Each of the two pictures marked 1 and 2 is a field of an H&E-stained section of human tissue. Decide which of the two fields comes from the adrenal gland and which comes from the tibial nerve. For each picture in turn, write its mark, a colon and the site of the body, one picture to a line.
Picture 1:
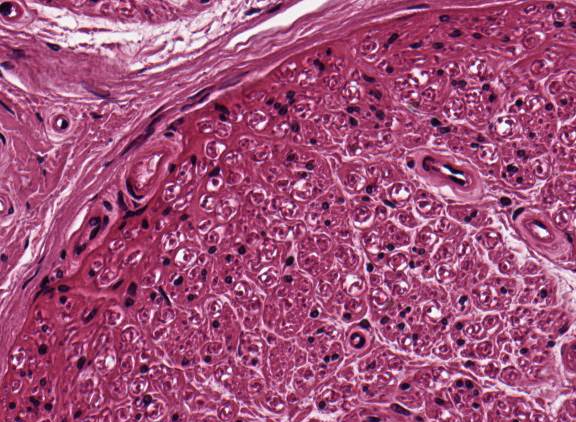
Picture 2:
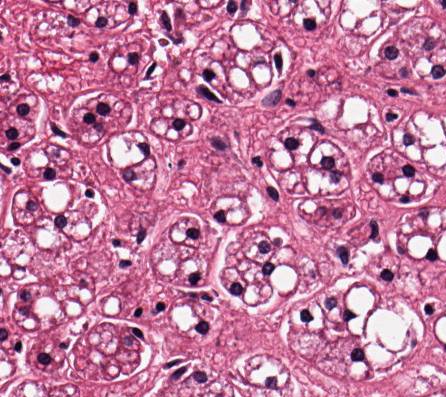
1: tibial nerve
2: adrenal gland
